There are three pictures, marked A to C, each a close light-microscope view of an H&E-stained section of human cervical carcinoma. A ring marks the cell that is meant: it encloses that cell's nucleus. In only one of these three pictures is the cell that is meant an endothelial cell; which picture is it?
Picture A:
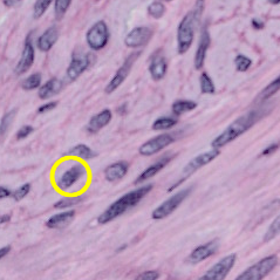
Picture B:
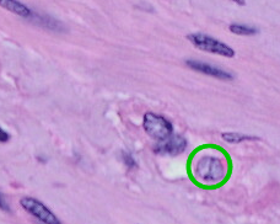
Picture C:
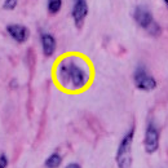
B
